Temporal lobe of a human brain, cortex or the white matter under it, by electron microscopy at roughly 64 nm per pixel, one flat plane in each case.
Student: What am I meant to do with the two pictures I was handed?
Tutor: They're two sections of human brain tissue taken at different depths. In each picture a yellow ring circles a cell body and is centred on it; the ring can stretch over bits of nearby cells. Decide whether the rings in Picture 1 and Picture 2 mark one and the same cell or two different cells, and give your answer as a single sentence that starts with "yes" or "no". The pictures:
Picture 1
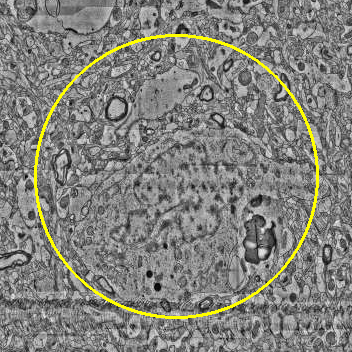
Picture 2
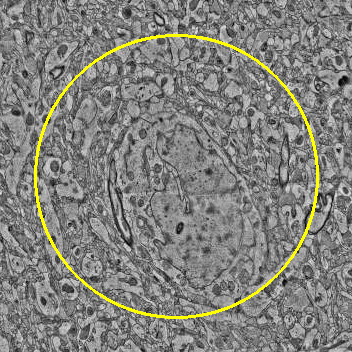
No, two separate cells are outlined by these yellow rings.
